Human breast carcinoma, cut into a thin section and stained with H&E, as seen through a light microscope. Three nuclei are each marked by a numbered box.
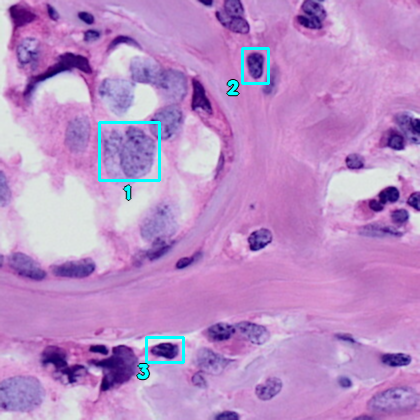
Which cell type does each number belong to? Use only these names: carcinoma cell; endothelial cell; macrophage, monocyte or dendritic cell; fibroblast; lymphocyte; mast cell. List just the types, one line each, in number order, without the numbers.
carcinoma cell
lymphocyte
lymphocyte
